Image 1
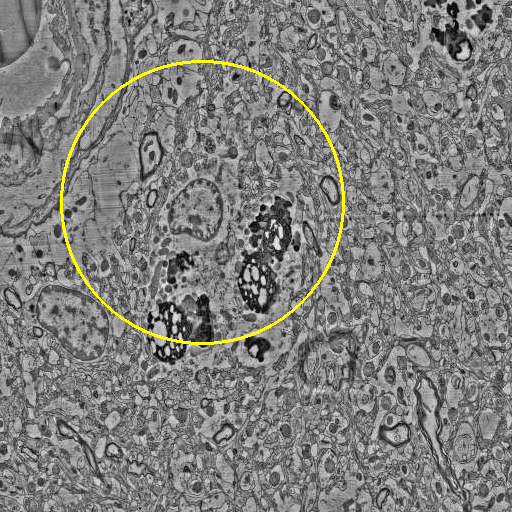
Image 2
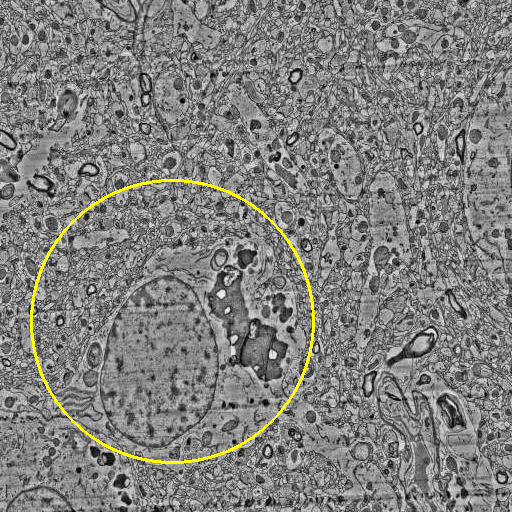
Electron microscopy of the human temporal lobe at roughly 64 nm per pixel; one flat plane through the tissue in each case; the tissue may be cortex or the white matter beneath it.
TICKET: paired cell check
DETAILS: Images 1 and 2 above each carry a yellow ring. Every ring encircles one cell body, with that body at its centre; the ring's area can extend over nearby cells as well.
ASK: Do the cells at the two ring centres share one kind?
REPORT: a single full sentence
Yes, the ring-centre cells of Images 1 and 2 belong to a single kind.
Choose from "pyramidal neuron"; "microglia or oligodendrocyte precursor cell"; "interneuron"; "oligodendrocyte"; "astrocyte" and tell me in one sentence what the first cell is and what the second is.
Both rings mark an astrocyte, one in each picture.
